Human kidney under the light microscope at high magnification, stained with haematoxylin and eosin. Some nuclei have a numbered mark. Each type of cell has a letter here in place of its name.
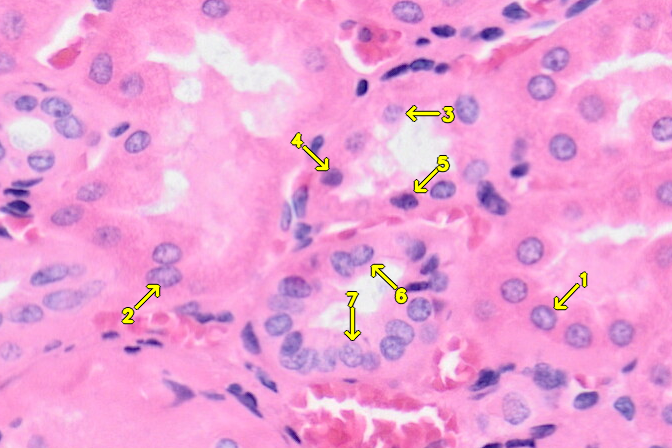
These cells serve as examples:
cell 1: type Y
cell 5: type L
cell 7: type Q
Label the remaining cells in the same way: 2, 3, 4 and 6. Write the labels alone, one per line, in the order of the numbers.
type Y
type L
type L
type Q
